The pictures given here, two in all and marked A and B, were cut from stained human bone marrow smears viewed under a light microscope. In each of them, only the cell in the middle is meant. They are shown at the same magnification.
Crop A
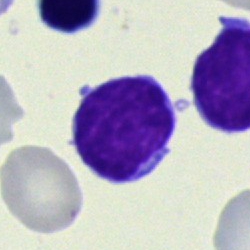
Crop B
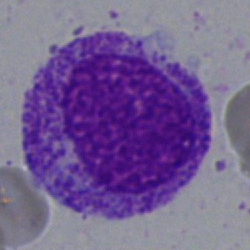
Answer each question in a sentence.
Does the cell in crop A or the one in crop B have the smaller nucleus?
The nucleus in crop A is smaller; the one in crop B has about 2 times its area.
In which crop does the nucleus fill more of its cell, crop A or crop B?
It is the cell in crop A that is filled more by its nucleus.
